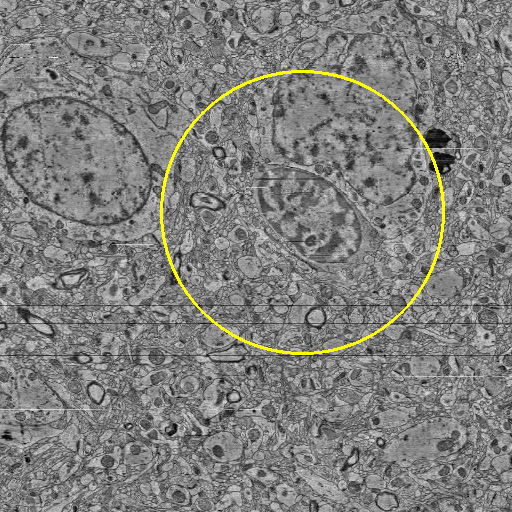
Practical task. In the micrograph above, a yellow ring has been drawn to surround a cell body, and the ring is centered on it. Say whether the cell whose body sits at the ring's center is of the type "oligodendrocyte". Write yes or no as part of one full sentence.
Yes, the cell at the center of the ring above is of the type asked about.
